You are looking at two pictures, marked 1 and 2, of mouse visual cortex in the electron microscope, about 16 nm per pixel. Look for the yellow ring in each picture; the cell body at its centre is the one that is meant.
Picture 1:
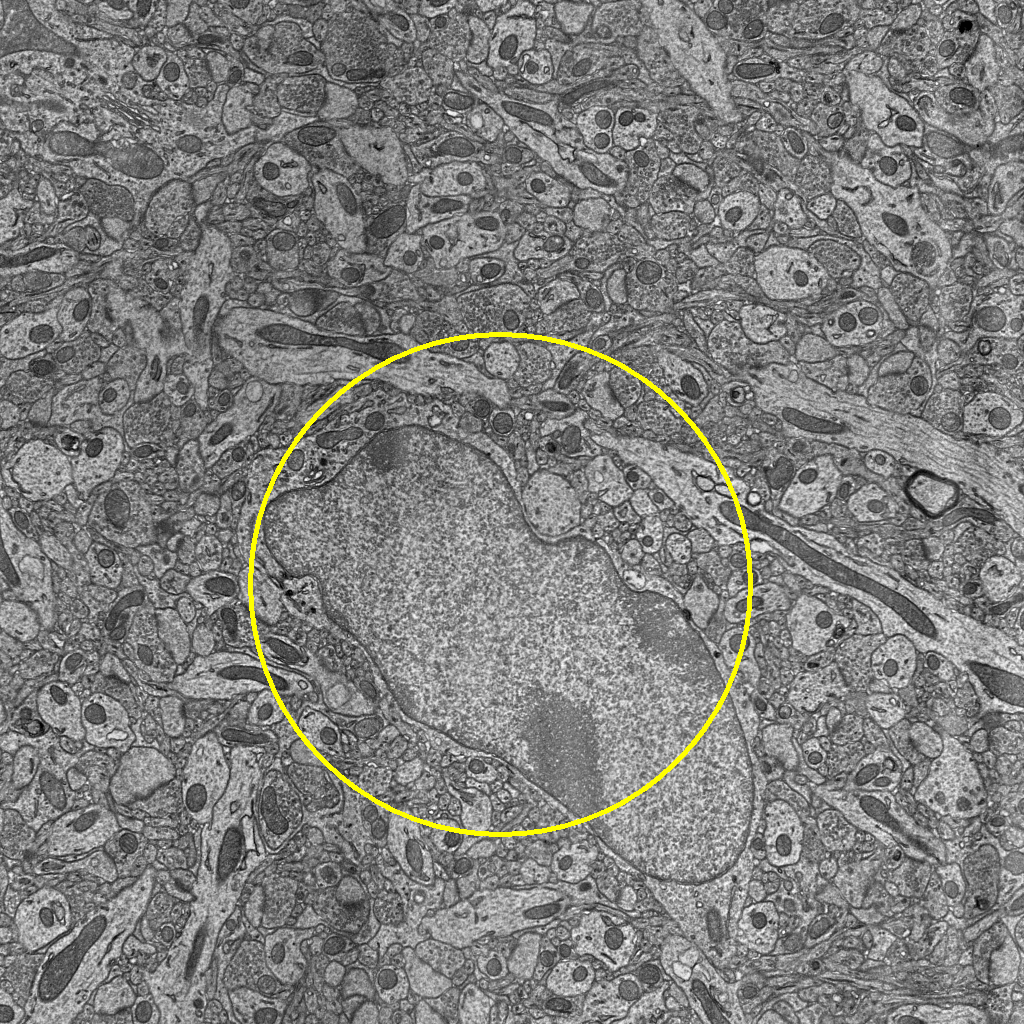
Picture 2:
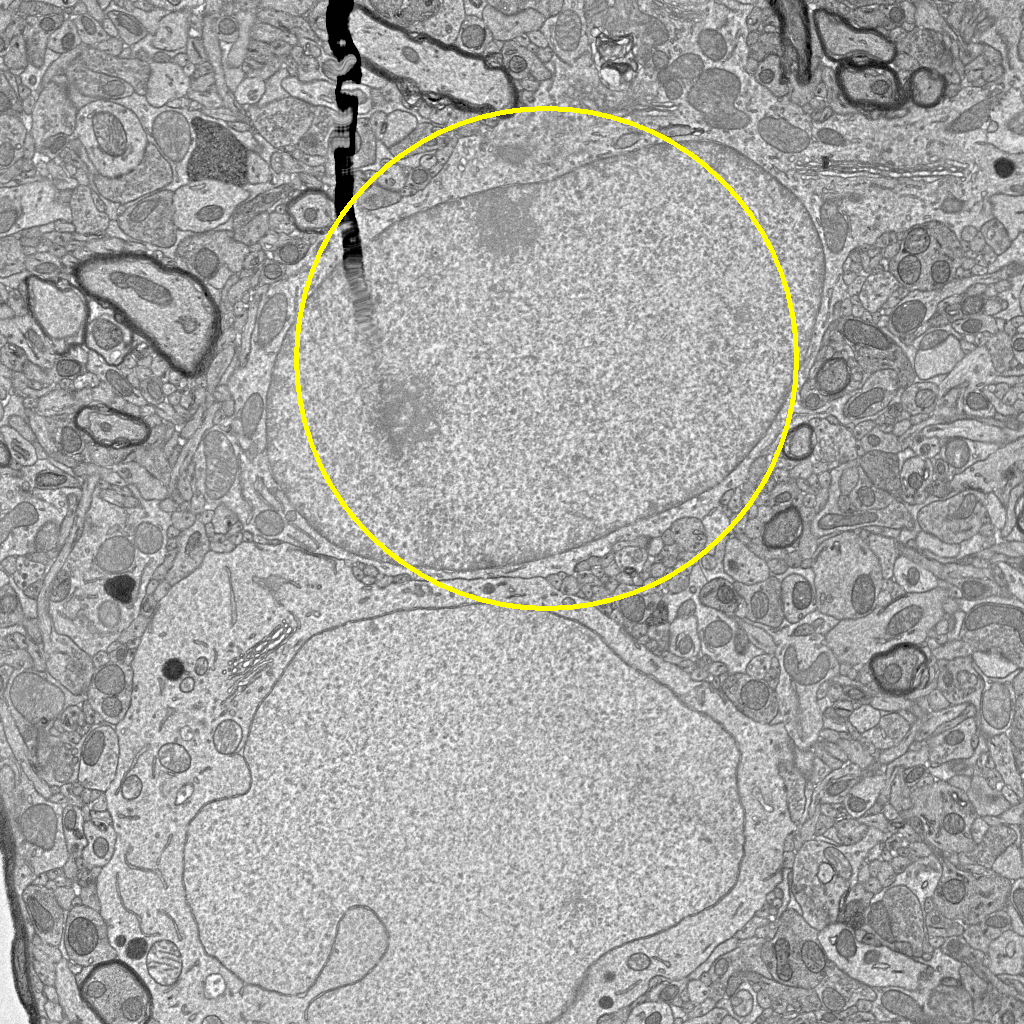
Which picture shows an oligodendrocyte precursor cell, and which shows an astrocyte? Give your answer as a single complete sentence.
It is picture 1 that shows an oligodendrocyte precursor cell, and picture 2 that shows an astrocyte.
